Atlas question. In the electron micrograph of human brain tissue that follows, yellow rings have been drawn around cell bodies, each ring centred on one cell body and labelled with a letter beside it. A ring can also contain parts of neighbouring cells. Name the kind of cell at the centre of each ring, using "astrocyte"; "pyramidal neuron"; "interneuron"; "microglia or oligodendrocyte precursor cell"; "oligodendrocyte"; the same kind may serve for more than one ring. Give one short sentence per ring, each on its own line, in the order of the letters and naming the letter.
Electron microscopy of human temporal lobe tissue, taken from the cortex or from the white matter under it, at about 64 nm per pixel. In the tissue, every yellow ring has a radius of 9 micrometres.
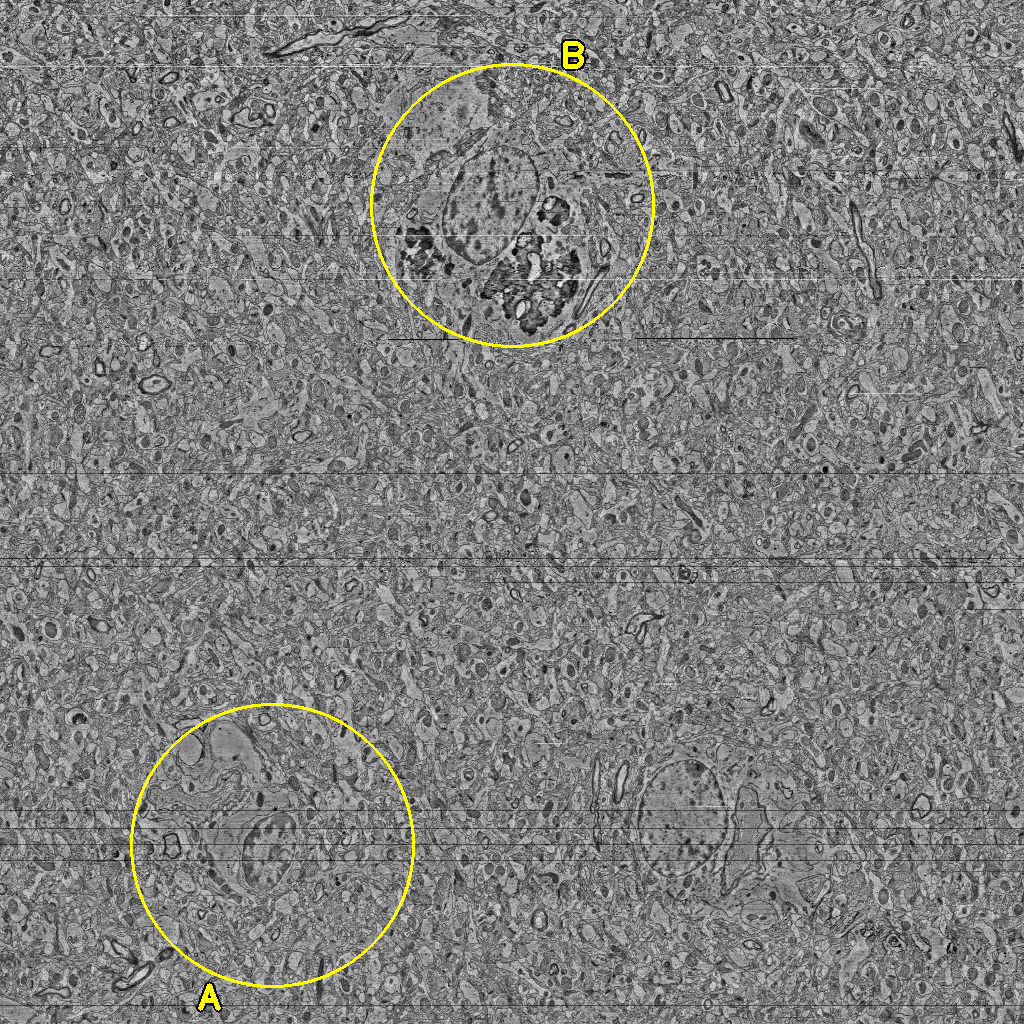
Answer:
For ring A, the cell at the centre is a microglial cell or oligodendrocyte precursor cell.
For ring B, the cell at the centre is an astrocyte.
